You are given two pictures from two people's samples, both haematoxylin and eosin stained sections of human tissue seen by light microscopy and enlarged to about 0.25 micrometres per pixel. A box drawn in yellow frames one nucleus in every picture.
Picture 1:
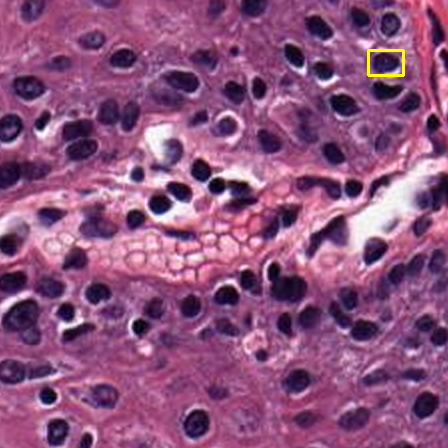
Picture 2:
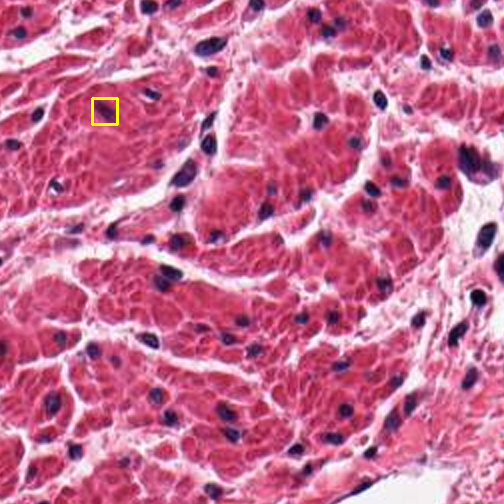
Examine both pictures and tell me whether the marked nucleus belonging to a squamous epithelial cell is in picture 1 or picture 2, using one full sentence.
In the case of picture 1, the marked nucleus belongs to a squamous epithelial cell.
